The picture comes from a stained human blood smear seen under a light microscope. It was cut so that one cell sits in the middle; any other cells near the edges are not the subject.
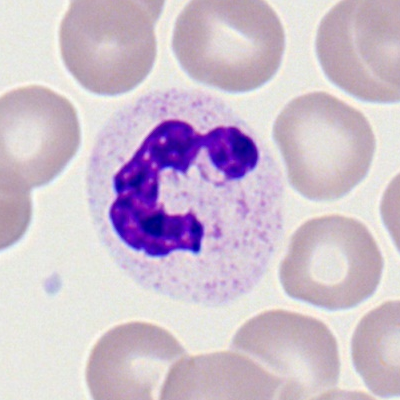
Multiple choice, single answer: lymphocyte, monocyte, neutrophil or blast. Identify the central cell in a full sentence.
In the middle of this smear crop is a neutrophil.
